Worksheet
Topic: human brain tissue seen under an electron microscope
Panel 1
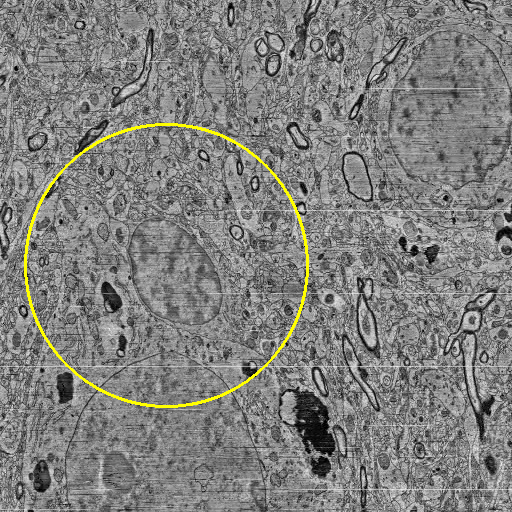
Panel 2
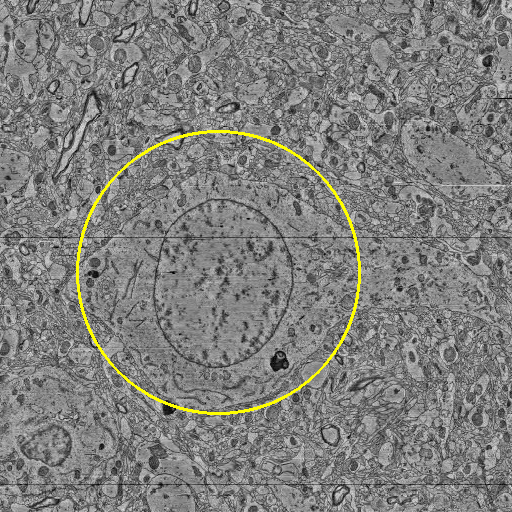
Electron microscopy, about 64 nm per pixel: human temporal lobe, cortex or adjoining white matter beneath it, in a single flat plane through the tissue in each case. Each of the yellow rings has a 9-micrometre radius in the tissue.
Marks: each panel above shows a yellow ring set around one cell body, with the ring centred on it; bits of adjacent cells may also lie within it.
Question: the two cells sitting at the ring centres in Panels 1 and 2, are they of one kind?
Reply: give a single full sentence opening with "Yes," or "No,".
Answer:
No, the two ring-centre cells in Panel 1 and Panel 2 are of two kinds.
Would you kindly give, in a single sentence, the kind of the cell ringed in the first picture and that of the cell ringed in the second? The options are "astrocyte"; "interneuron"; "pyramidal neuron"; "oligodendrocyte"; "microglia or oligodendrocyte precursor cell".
The second cell is a pyramidal neuron, and the first cell is an oligodendrocyte.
